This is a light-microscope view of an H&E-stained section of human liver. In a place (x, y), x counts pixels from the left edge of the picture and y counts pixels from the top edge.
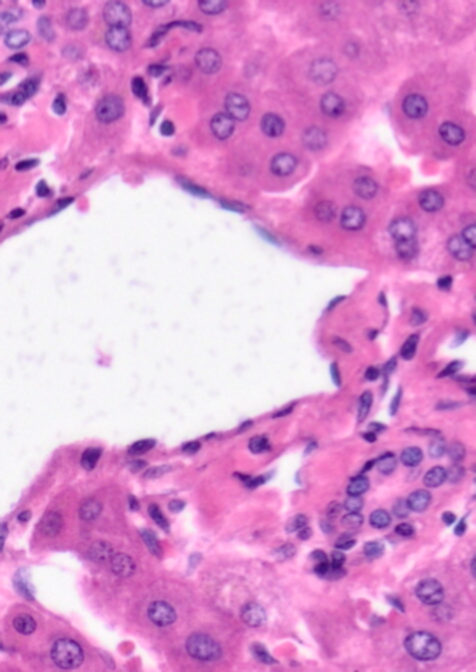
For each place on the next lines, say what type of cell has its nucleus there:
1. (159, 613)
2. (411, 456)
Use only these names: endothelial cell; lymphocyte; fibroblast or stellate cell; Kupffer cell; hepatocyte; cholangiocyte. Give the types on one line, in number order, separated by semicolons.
hepatocyte; cholangiocyte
